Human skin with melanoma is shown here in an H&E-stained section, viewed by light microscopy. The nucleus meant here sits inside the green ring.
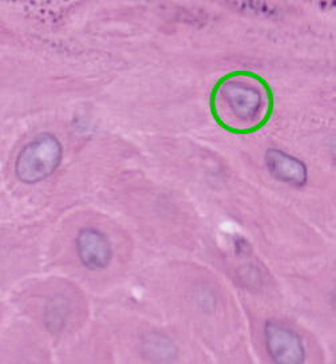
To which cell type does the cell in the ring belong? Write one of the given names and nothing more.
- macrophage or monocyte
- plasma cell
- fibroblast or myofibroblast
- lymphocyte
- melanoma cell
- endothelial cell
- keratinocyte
keratinocyte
